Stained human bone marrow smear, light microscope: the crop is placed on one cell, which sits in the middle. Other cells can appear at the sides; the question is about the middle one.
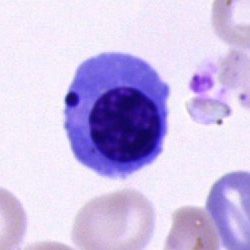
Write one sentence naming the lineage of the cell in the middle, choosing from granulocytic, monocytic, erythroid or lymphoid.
The cell positioned centrally in this crop arises from the erythroid lineage.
